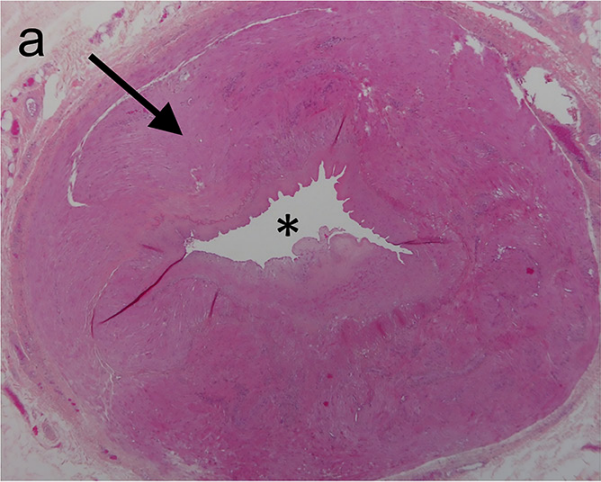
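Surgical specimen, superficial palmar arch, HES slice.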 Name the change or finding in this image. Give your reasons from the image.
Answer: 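The wall around the central lumen is very thick all around. The thickened wall forms concentric layers around the small lumen. The answer: marked concentric thickening.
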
